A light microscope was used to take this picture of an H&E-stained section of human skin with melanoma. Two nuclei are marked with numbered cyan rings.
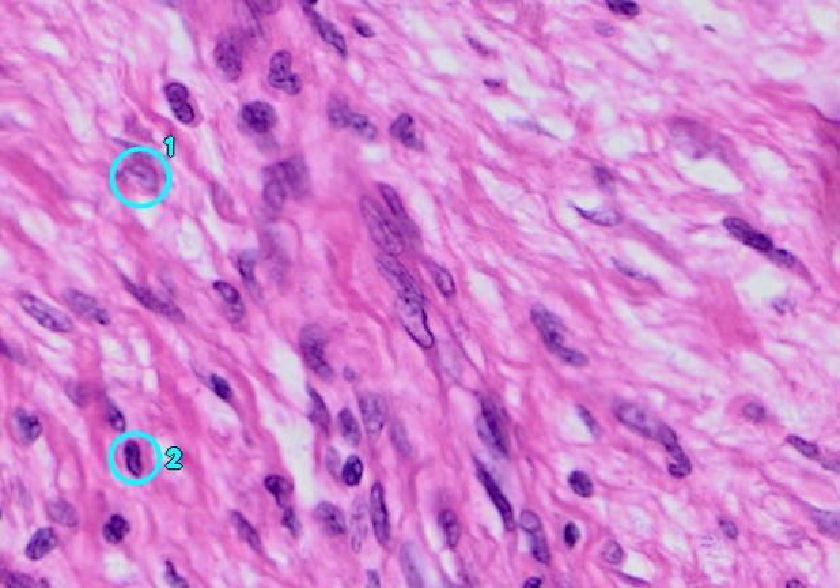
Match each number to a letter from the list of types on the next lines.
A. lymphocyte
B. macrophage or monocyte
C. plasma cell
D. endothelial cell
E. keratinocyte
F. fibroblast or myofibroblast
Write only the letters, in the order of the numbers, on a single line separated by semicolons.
F; A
